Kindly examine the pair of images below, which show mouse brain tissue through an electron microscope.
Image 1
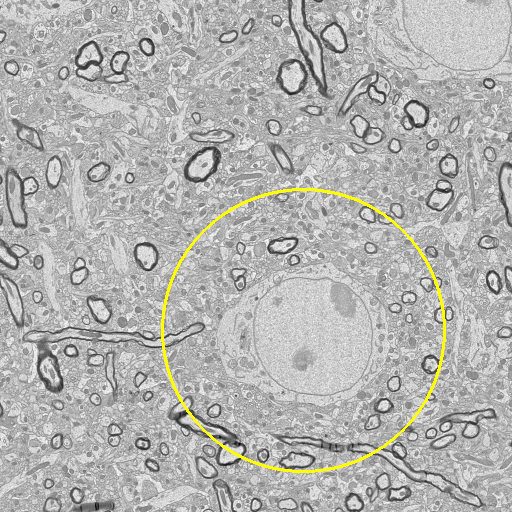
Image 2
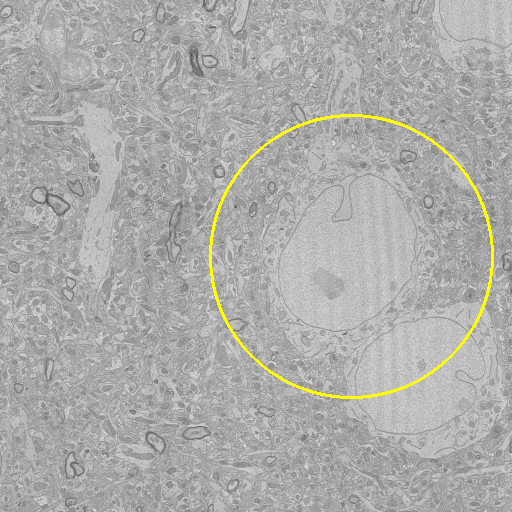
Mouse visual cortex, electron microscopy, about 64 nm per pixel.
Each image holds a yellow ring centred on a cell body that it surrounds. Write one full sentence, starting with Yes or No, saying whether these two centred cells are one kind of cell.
Yes, both cells at the centres of the yellow rings belong to one kind of cell.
